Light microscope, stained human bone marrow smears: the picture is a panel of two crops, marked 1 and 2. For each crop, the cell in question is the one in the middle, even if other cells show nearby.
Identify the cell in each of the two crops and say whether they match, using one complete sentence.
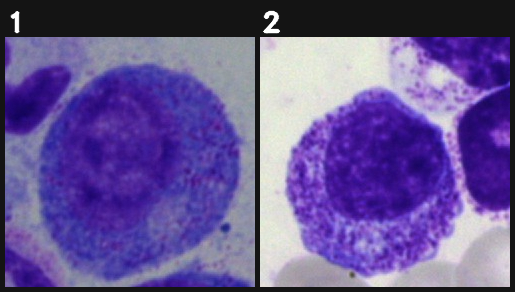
No, in crop 1 the cell is a promyelocyte, and in crop 2 it is a myelocyte.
